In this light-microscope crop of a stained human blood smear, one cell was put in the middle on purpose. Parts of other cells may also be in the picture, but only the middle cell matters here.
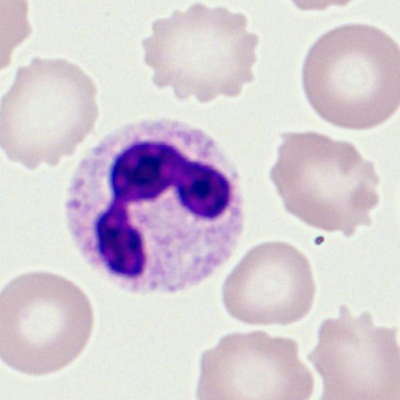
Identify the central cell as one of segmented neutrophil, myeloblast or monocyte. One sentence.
The cell sitting right in the middle is a segmented neutrophil.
